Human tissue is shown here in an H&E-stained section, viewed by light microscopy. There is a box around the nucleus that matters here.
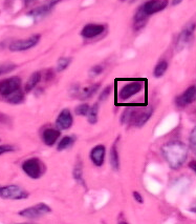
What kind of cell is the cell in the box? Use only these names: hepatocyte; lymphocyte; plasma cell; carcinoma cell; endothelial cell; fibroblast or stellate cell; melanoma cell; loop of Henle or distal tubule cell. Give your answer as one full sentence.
This is a plasma cell.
